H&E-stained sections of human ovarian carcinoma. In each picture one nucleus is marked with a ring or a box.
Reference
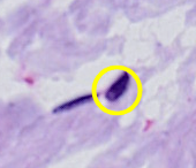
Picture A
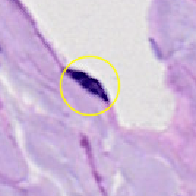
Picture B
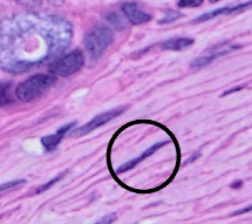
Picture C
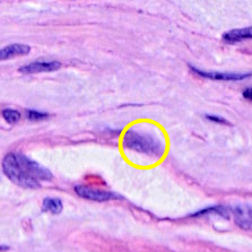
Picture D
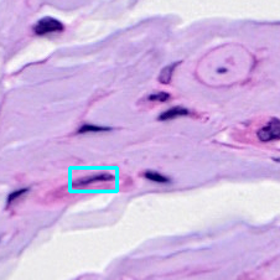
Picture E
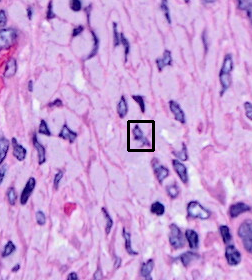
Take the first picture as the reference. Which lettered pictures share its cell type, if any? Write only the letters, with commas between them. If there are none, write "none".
B, E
